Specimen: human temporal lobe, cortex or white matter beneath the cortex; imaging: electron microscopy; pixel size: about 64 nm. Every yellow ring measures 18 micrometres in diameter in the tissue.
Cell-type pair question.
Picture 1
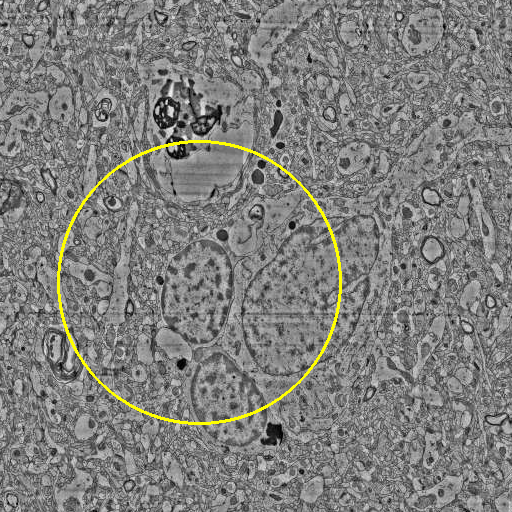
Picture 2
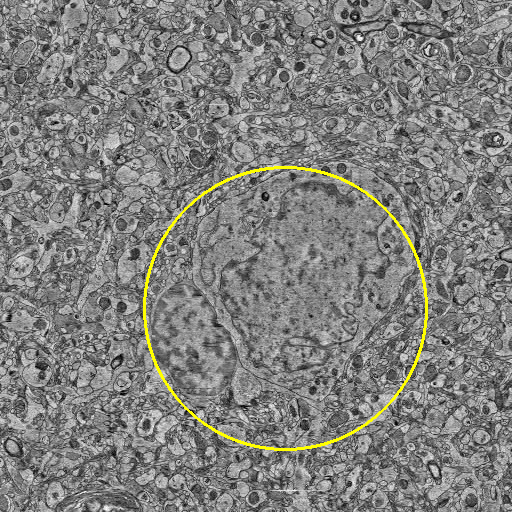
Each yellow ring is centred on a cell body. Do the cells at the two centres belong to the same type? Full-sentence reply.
No, the two cells belong to two types.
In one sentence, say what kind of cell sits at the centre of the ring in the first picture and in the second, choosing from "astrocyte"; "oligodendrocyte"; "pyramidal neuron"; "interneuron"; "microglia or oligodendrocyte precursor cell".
The first picture's ringed cell is a microglial cell or oligodendrocyte precursor cell, while the second picture's is an interneuron.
